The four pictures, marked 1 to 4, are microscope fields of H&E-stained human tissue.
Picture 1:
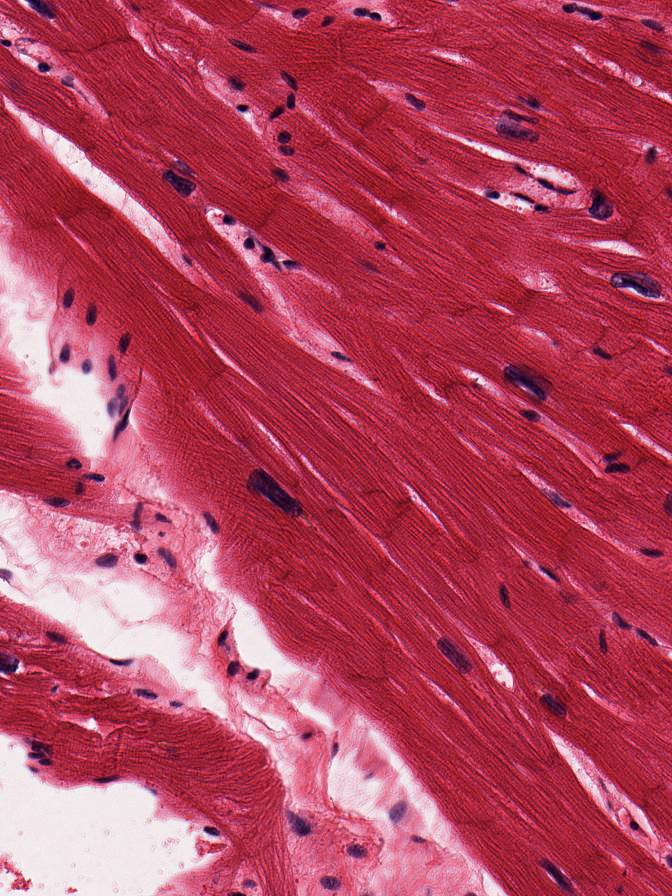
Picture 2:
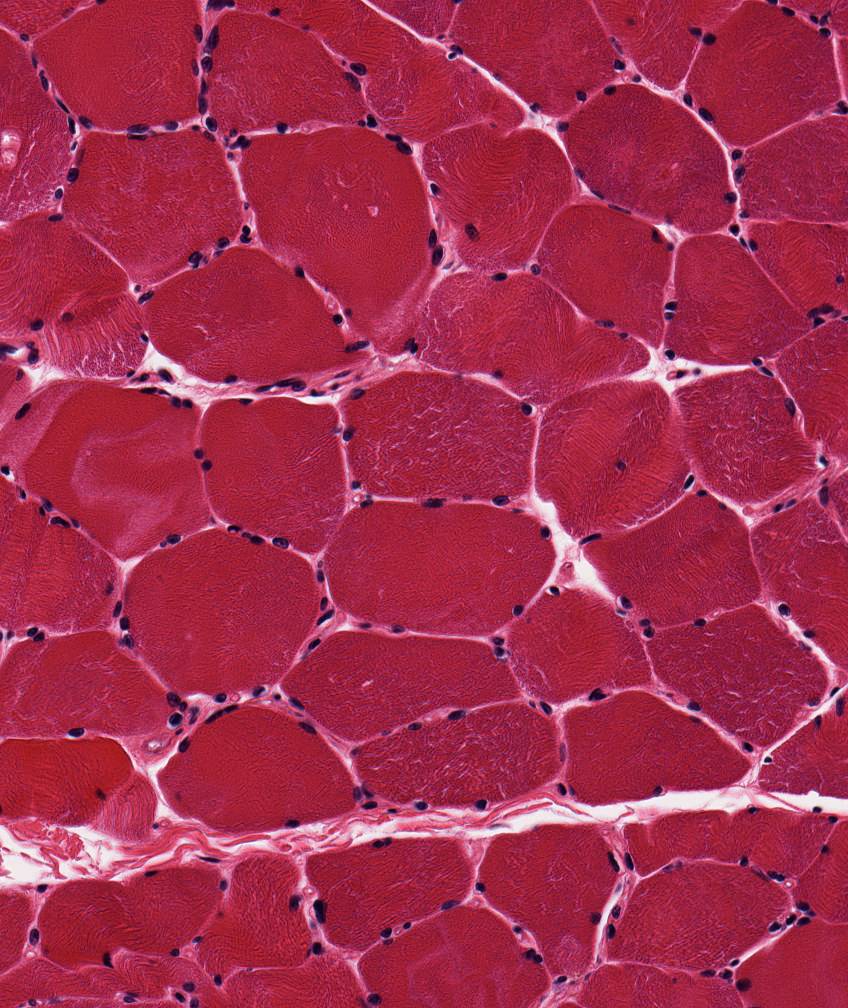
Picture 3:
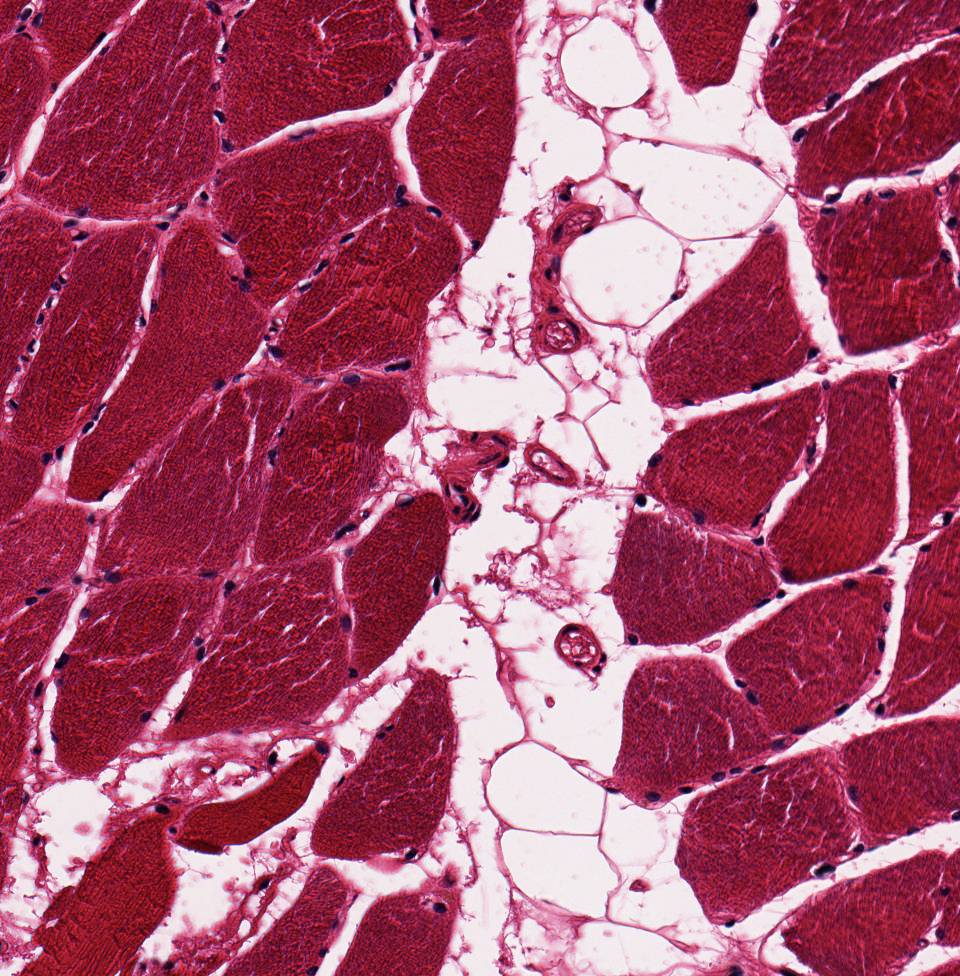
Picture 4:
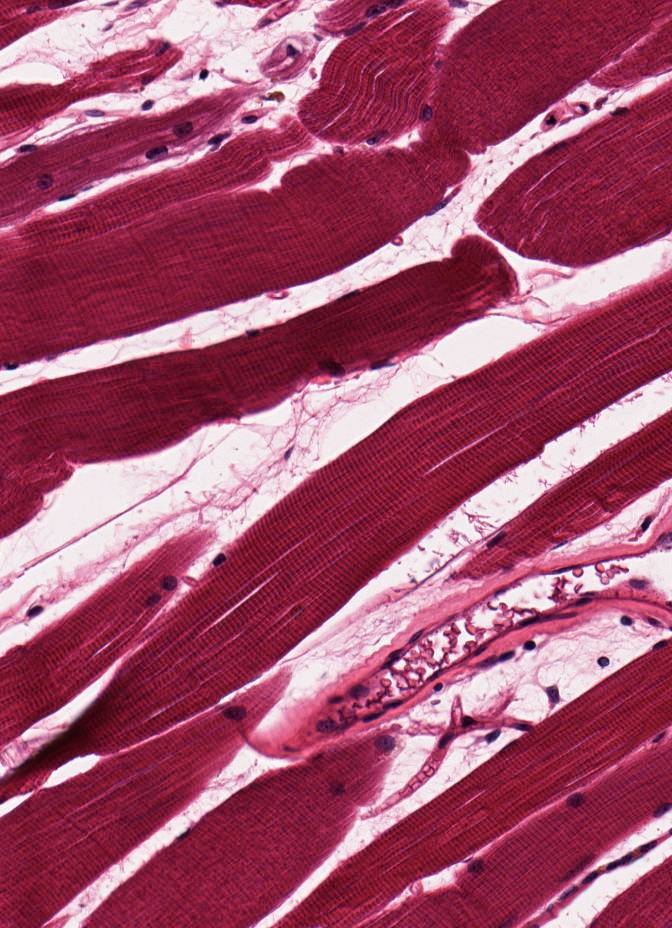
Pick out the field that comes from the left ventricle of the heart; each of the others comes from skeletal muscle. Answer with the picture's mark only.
1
